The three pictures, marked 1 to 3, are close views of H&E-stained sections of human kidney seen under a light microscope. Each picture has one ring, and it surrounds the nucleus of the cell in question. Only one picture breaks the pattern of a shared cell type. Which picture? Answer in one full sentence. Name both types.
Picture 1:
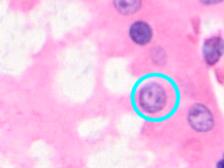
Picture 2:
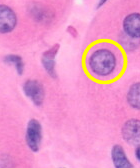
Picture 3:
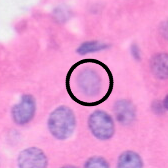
Unlike the rest, which show proximal tubule cells, picture 3 shows a “loop of Henle or distal tubule cell”.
